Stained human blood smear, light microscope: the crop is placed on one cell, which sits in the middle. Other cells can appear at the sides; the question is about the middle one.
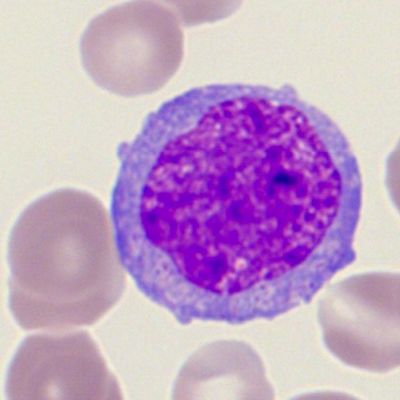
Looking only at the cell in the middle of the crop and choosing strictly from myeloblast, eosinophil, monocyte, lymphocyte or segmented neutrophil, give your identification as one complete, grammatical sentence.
As for the cell in the middle, it is a monocyte.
